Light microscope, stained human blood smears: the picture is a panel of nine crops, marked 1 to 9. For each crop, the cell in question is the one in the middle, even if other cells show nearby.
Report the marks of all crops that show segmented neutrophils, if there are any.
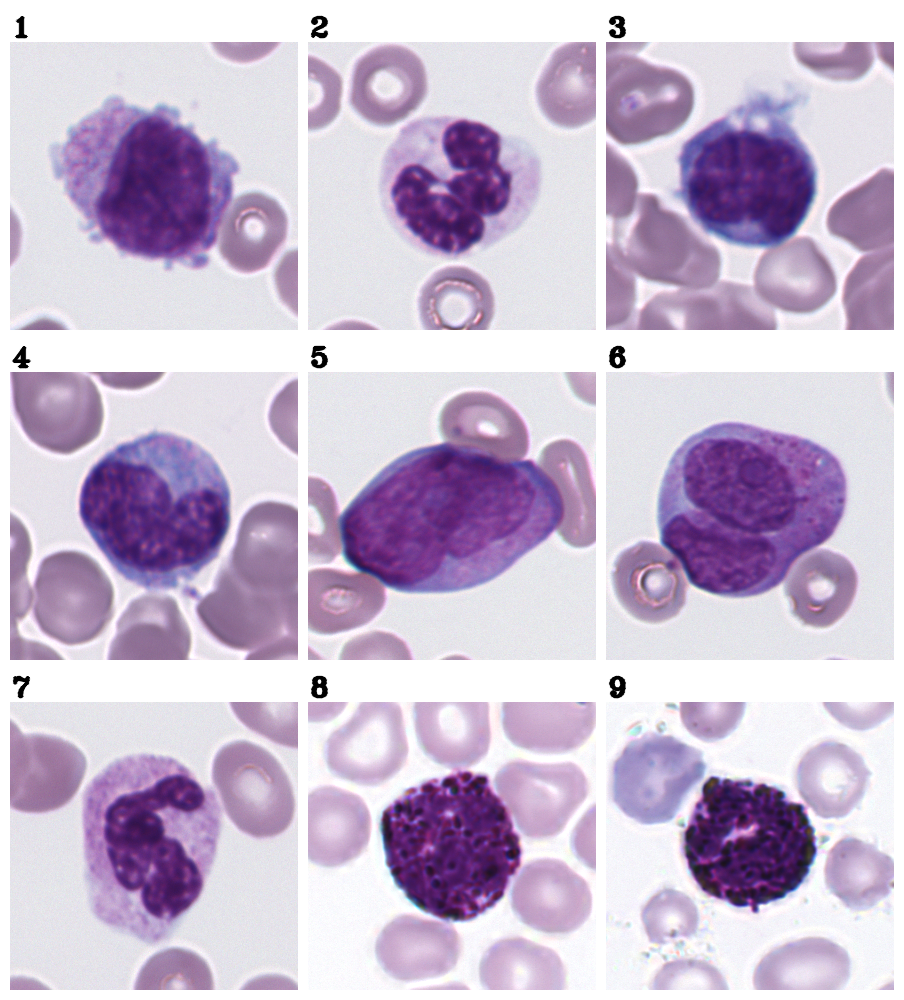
2, 7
